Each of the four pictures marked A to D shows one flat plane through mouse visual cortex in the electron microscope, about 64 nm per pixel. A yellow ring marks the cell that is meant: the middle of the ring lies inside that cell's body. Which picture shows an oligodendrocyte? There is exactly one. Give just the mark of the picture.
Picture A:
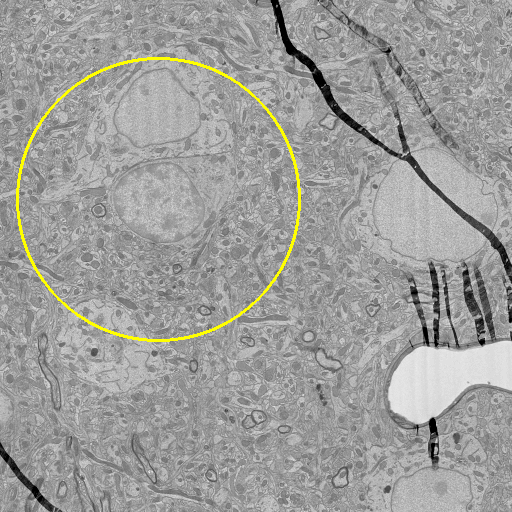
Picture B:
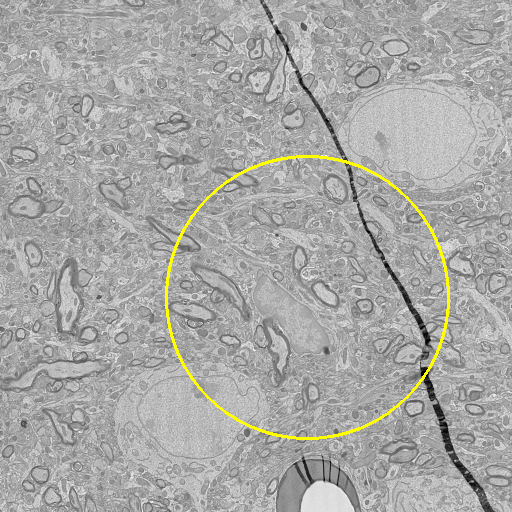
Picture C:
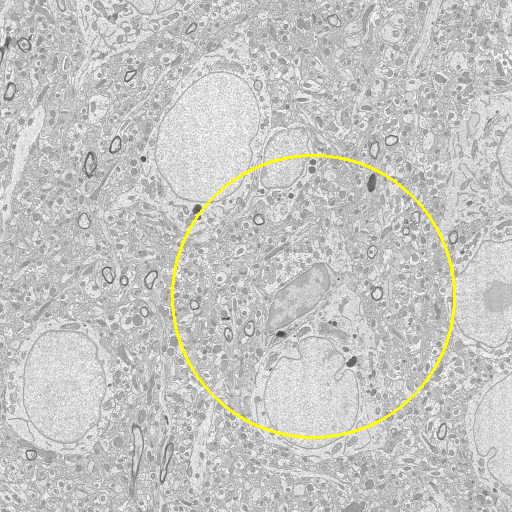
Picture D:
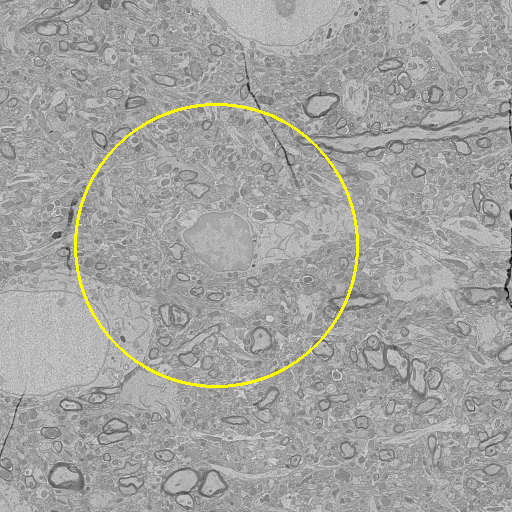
A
